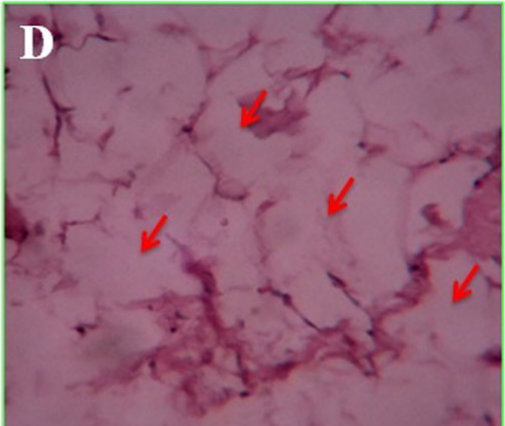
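Adipose tissue of large pale adipocytes is seen, with cell outlines that are irregular and in many places incomplete. The thin pink walls between the cells are broken up and frayed rather than forming a continuous network. Loose, wispy, tangled pink strands run across parts of the field, especially toward the lower middle. Few small dark nuclei are seen along the remaining walls. The regular mosaic of neighbouring cells is lost over much of the field.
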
